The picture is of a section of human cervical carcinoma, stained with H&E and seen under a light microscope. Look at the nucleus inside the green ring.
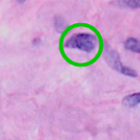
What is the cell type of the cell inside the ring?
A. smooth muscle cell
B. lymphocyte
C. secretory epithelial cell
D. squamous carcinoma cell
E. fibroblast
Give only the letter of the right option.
E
